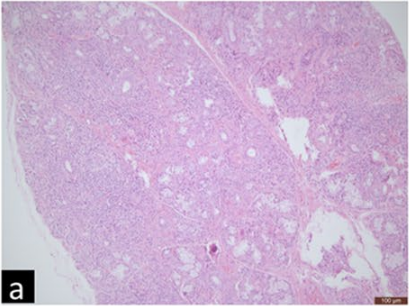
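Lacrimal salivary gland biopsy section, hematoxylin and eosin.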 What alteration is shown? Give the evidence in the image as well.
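Scattered ducts and acini remain between the dense cellular areas.
Hence: multifocal lymphocytic infiltrates.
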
